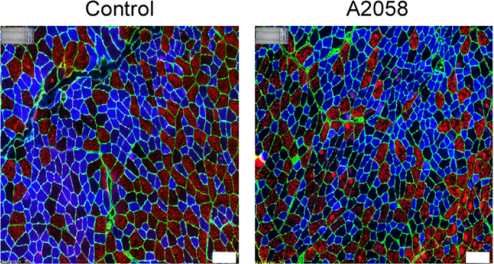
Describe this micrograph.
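Two fields of skeletal muscle cut across show many tightly packed, polygonal muscle fibers, each rimmed by a thin green outline. The fibers are filled either with blue or with red, and some are dark and unfilled, the three kinds lying intermixed in a mosaic rather than in separate blocks.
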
